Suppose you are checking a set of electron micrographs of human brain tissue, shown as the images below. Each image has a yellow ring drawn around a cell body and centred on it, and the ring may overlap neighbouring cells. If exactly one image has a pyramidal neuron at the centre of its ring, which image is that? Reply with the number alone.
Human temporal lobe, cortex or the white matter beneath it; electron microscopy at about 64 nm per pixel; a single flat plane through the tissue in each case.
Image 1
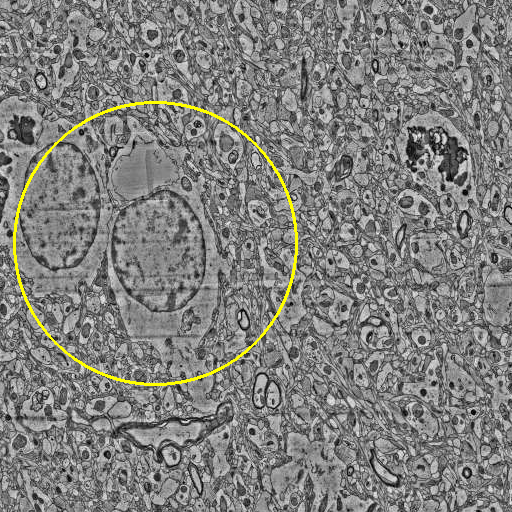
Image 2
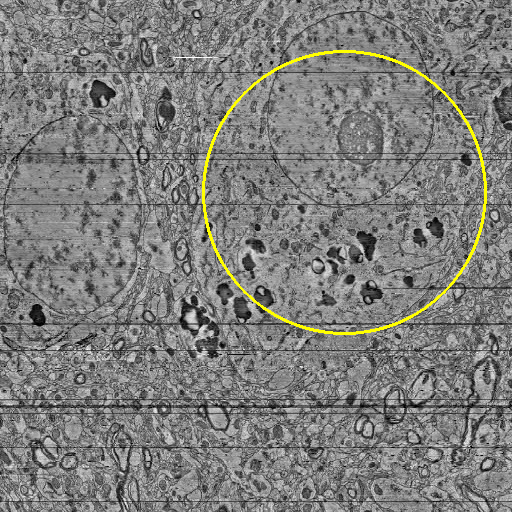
2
